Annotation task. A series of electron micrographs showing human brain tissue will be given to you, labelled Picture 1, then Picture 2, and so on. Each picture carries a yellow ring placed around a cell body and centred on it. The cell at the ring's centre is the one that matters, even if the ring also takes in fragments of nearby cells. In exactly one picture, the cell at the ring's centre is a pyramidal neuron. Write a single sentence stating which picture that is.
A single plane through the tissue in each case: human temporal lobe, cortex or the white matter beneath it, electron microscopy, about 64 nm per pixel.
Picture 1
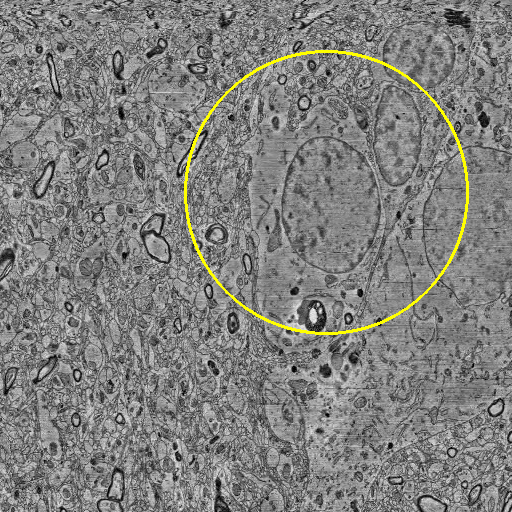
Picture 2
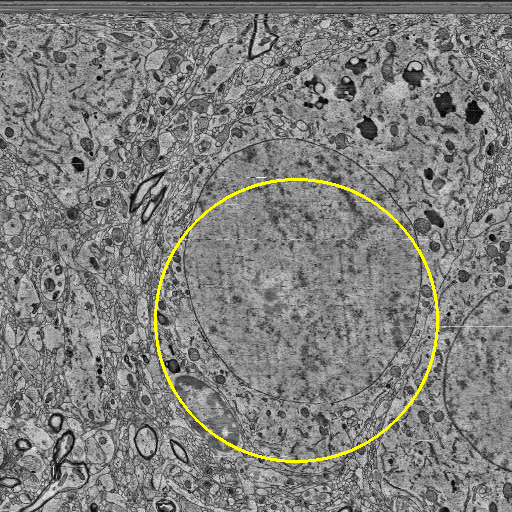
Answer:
Picture 2 holds the requested cell at the very centre of its ring.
